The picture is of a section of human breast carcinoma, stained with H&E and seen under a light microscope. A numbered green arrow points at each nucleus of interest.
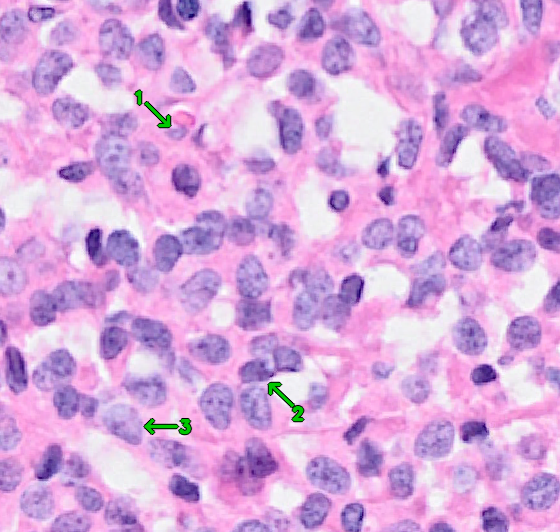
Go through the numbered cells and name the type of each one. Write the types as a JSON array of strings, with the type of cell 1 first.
["endothelial cell", "carcinoma cell", "carcinoma cell"]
